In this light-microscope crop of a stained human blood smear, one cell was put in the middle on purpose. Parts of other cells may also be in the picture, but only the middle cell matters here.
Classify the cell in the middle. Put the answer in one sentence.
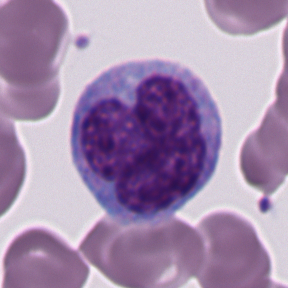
The cell at the middle of the crop is recognized as a monocyte.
